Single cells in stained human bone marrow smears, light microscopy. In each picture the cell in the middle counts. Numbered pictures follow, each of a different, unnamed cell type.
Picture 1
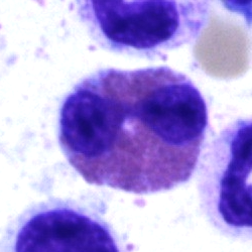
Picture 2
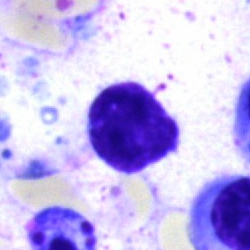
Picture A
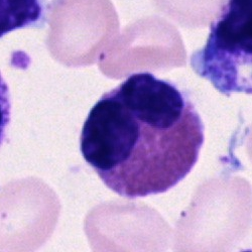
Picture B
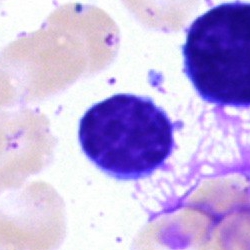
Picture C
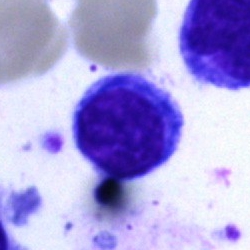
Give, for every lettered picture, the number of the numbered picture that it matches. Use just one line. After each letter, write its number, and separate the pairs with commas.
A 1, B 2, C 2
